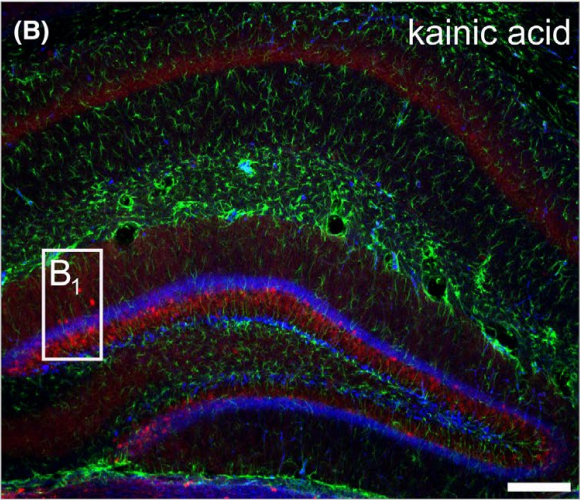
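Here again the dentate gyrus is cut across, with its tightly packed granule cells forming a red, C-shaped band bordered by thin blue bands. Branched green cells with many fine processes are spread throughout the tissue around the cell layer, and a few dark round holes mark vessels in the section.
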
